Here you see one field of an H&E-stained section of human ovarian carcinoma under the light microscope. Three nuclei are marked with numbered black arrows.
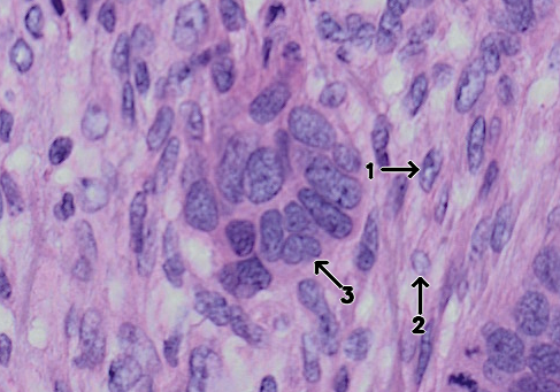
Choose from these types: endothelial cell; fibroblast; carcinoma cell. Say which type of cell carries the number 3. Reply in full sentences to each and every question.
The cell marked with the number 3 is a carcinoma cell.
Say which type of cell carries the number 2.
The nucleus with number 2 is that of a fibroblast.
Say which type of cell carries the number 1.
The correct label for cell 1 is a fibroblast.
